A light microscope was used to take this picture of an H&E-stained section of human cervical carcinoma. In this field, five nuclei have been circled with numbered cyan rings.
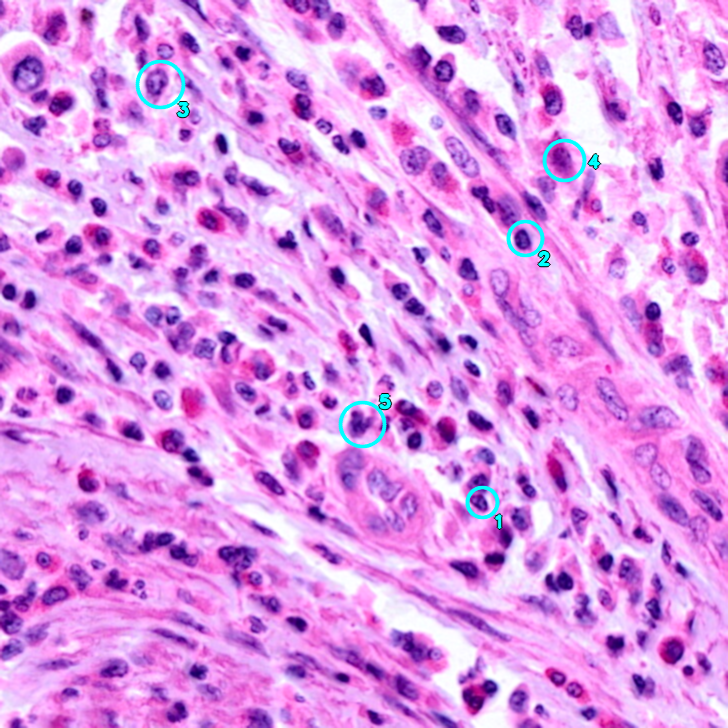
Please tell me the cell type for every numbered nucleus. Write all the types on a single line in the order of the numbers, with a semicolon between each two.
lymphocyte; lymphocyte; macrophage or monocyte; macrophage or monocyte; lymphocyte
